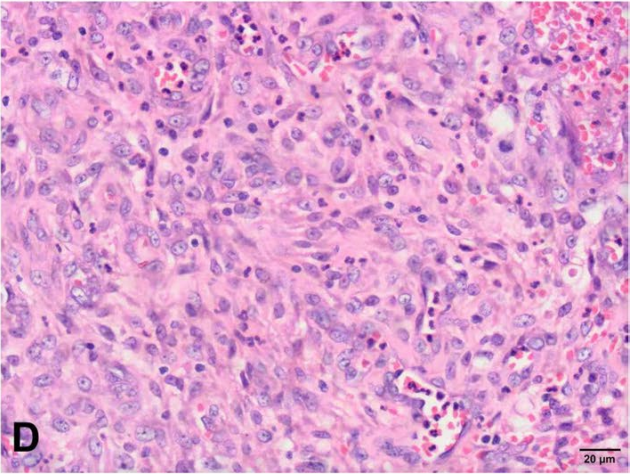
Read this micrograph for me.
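Tumor cells with abundant pink cytoplasm grow around small blood vessels. The tumor cells are plump, epithelioid to short spindled, with oval vesicular nuclei and small nucleoli, lying in sheets without clear borders. Several small vessel lumens containing red blood cells are scattered through the field, and a collection of red blood cells occupies the upper right corner. Among the tumor cells and within the vessels lie small inflammatory cells, many with dark, lobed nuclei. A few small round clear spaces interrupt the pink cytoplasm.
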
